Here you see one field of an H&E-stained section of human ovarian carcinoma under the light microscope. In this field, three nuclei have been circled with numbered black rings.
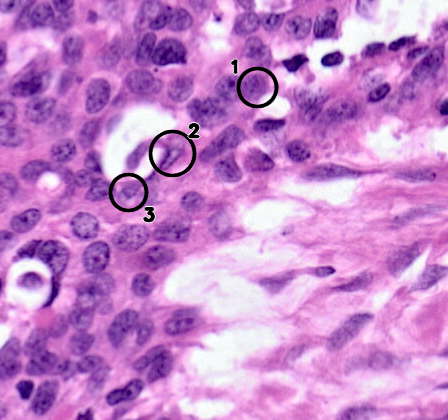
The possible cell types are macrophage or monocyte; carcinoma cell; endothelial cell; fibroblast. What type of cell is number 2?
endothelial cell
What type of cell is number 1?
carcinoma cell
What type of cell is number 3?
carcinoma cell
